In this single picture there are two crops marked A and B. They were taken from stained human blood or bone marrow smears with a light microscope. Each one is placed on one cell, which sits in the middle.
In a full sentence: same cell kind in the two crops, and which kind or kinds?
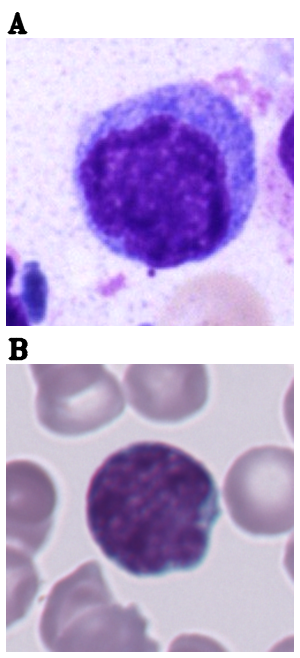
Yes, the cells in the centres of the two crops are blasts.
